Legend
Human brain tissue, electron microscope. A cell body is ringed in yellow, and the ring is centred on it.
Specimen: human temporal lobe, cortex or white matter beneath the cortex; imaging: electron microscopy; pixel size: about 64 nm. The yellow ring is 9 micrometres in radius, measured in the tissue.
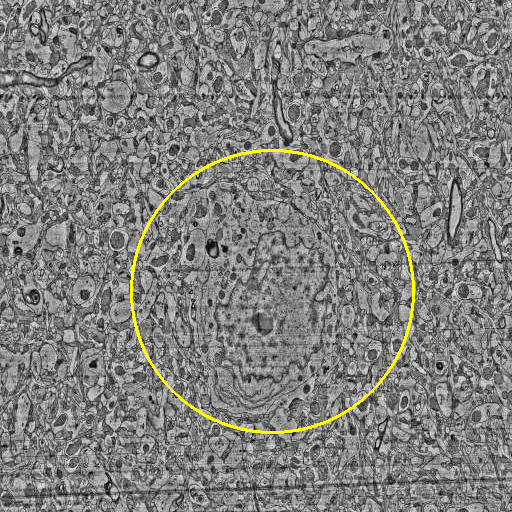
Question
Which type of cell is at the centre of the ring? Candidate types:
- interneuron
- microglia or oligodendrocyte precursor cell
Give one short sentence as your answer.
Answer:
The yellow ring is centred here on an interneuron.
